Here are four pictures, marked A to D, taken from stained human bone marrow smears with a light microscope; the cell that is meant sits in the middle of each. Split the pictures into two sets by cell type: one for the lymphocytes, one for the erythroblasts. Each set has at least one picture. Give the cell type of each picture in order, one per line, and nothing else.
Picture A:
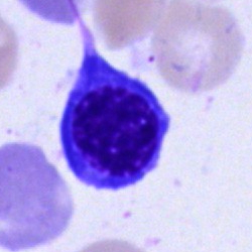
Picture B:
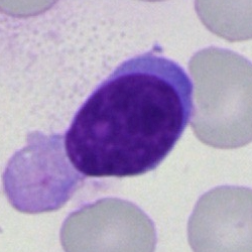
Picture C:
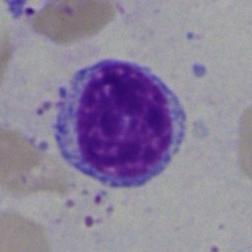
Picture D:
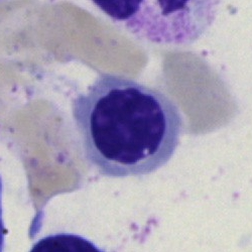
erythroblast
lymphocyte
lymphocyte
erythroblast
